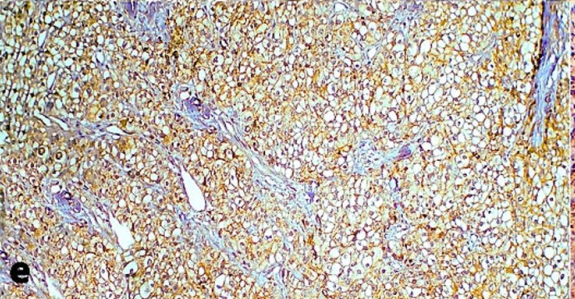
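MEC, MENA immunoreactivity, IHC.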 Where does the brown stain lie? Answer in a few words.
Cytomembranous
